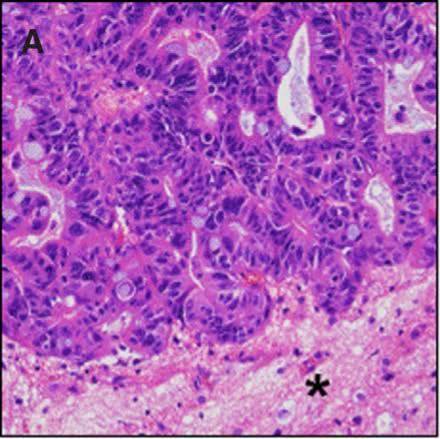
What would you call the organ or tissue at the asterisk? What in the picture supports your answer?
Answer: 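The asterisk lies in a pale pink, finely fibrillary area below the tumor. This area holds only scattered small nuclei, unlike the crowded tumor above. So: brain parenchyma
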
